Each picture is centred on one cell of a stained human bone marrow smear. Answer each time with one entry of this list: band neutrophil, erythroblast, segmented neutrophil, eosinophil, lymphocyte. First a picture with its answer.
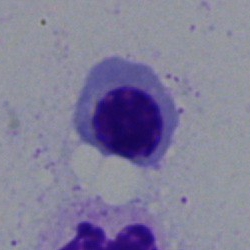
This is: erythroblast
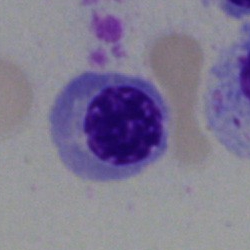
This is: erythroblast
